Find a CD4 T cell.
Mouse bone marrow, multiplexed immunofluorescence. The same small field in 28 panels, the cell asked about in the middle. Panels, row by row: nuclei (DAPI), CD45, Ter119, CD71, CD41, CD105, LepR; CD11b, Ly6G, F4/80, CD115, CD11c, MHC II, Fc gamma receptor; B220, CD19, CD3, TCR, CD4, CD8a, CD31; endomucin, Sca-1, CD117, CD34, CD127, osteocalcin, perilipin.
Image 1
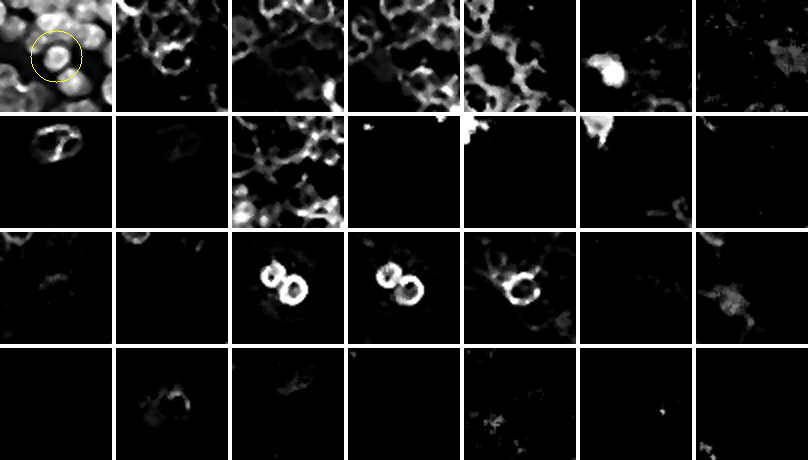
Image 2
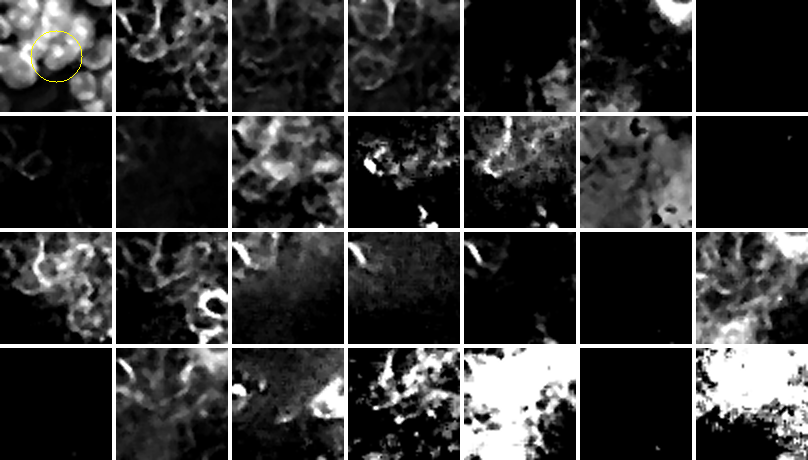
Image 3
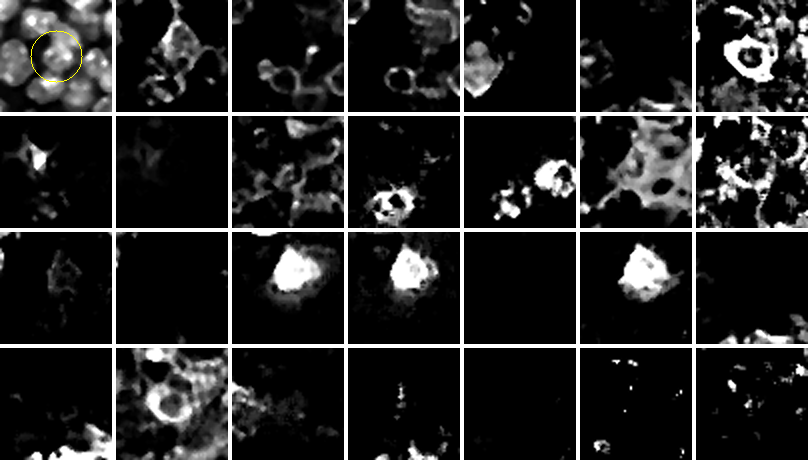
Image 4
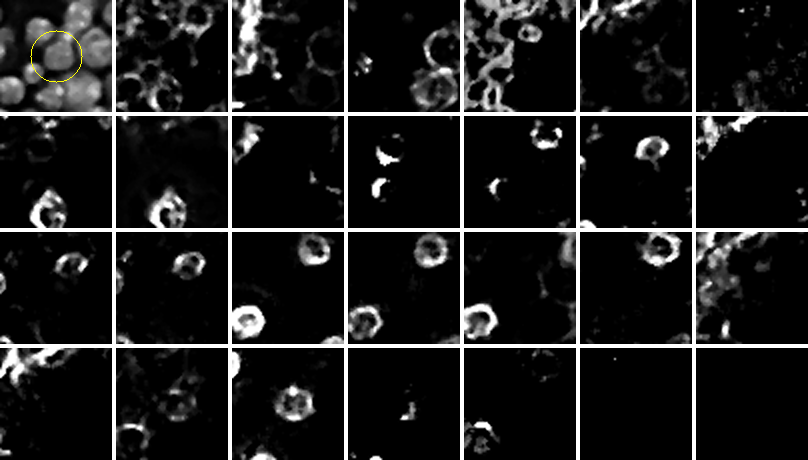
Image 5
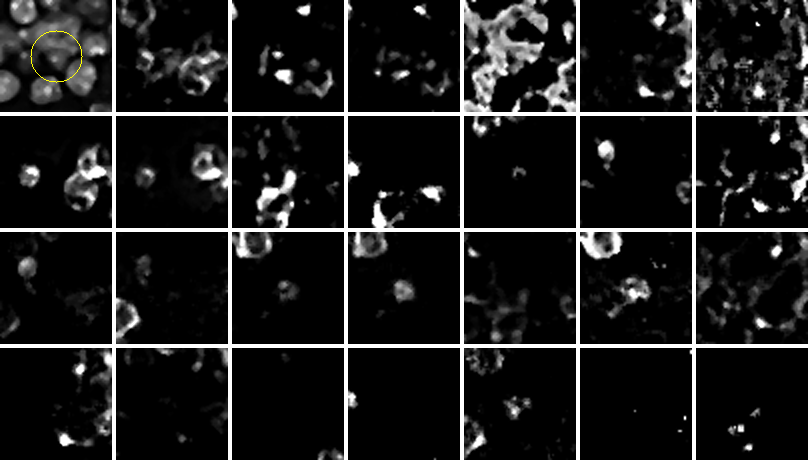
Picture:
1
